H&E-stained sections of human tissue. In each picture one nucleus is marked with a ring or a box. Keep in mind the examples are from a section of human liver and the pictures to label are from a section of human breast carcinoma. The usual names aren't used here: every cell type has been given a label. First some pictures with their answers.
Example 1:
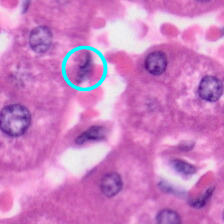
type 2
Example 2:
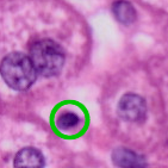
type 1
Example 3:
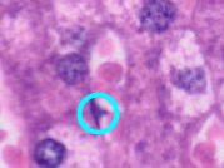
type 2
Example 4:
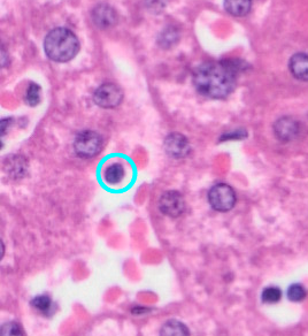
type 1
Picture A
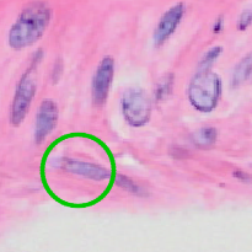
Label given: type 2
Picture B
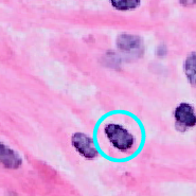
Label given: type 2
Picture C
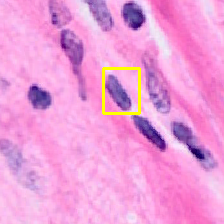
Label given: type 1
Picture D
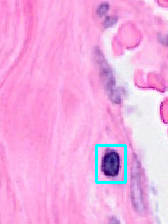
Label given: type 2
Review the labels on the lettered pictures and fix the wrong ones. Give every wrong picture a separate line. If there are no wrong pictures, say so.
B is labelled type 2; correct label: type 1
D is labelled type 2; correct label: type 1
